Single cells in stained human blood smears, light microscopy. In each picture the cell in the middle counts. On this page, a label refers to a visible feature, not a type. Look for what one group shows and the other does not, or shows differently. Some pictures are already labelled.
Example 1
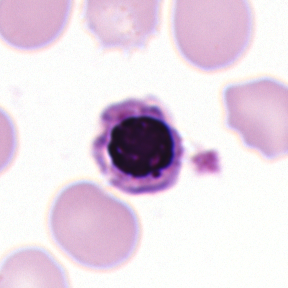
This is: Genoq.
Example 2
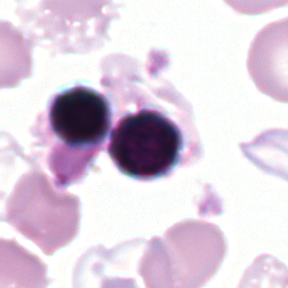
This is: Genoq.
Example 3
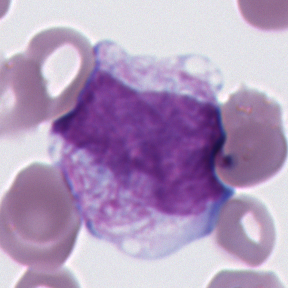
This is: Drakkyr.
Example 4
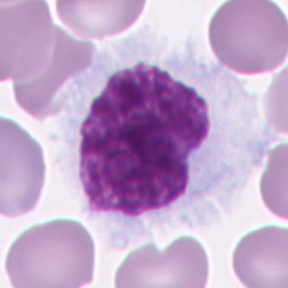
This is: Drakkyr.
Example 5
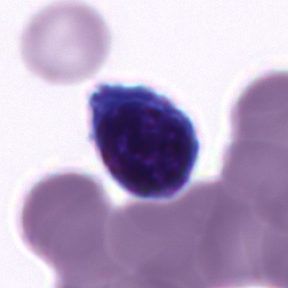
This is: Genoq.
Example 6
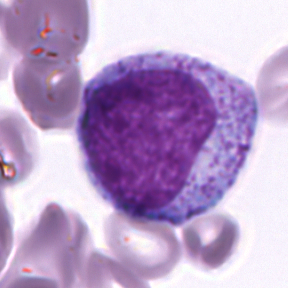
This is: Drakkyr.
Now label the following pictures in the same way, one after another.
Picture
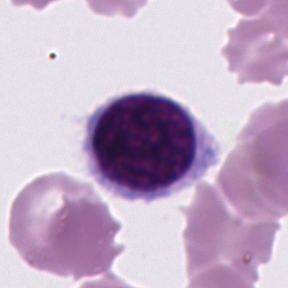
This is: Genoq.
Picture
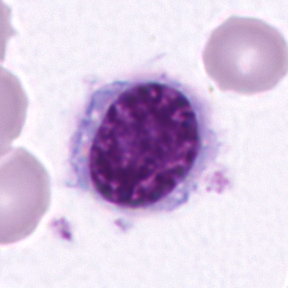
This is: Genoq.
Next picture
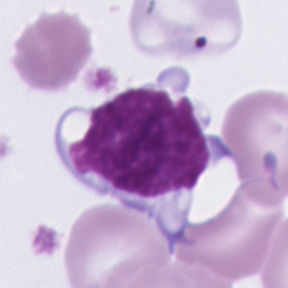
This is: Genoq.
